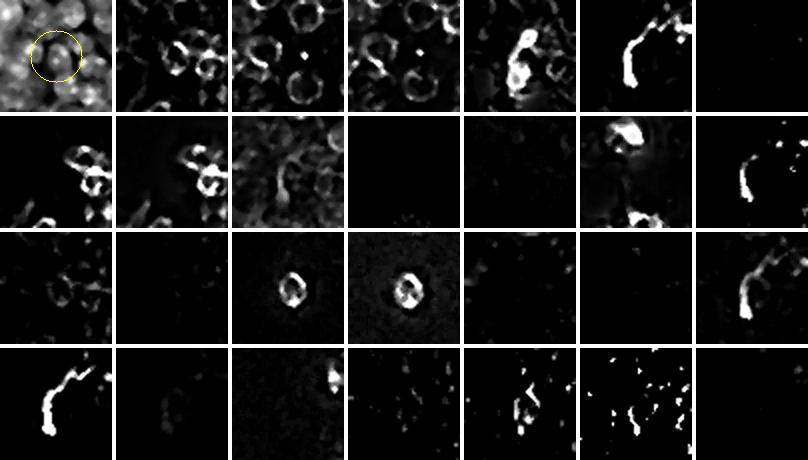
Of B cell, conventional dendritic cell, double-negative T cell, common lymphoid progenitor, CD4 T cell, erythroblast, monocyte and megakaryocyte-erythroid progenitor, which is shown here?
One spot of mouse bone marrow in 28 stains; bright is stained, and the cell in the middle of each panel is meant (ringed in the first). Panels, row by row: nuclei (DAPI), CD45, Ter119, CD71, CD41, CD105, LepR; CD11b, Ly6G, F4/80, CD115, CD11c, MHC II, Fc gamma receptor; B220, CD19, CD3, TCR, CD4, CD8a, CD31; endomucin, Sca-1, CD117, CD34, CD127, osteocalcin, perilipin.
double-negative T cell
